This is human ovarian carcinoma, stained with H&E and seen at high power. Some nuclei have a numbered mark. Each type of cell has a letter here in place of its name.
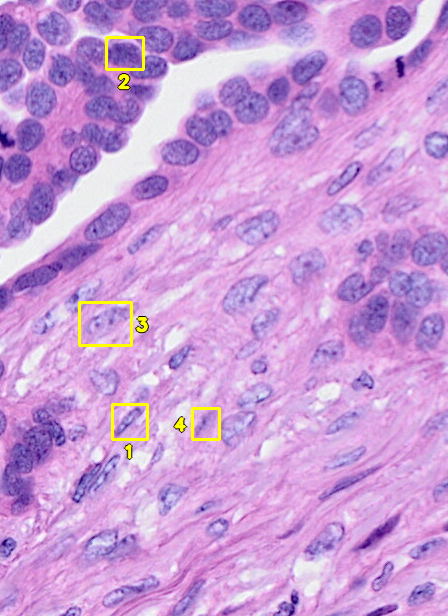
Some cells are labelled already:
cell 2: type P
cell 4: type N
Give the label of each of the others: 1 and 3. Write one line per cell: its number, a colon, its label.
1: type N
3: type N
